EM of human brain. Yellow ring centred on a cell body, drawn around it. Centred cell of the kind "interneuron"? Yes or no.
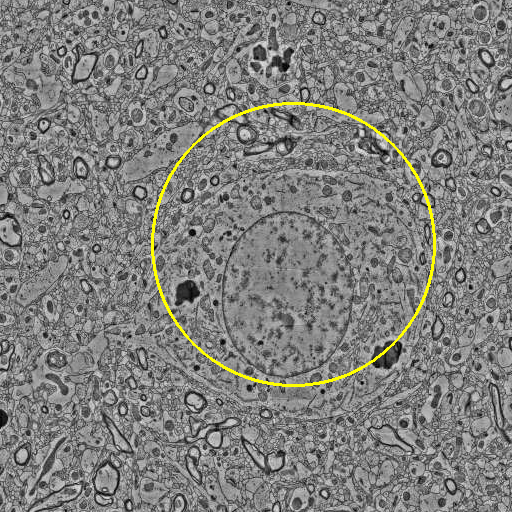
yes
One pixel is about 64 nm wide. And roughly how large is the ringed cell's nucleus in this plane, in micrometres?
The nucleus has a long axis of about 11 micrometres and a short axis of about 8 micrometres in this plane.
